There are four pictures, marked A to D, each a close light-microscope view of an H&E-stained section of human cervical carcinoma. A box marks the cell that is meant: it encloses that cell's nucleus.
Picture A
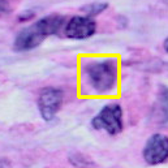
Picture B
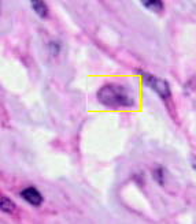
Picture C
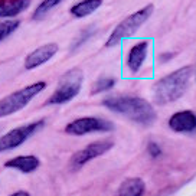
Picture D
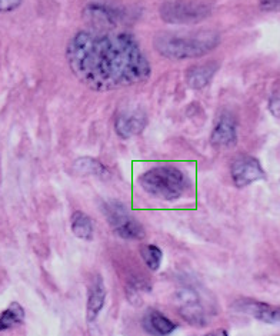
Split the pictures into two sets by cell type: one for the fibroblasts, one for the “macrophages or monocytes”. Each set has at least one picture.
A: macrophage or monocyte
B: macrophage or monocyte
C: fibroblast
D: macrophage or monocyte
